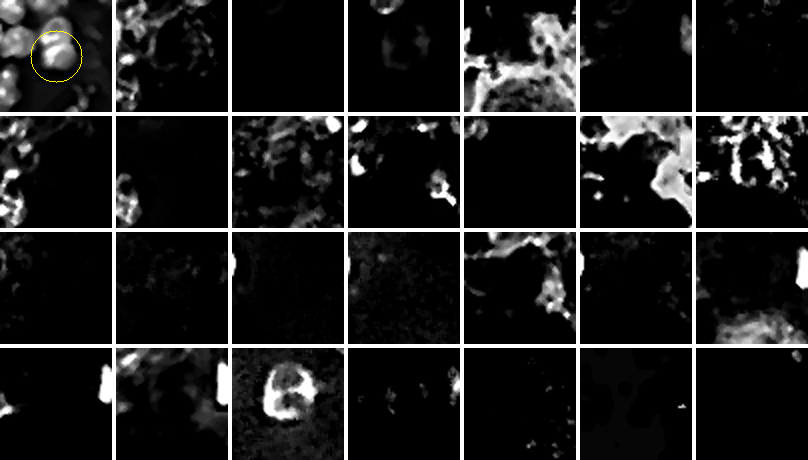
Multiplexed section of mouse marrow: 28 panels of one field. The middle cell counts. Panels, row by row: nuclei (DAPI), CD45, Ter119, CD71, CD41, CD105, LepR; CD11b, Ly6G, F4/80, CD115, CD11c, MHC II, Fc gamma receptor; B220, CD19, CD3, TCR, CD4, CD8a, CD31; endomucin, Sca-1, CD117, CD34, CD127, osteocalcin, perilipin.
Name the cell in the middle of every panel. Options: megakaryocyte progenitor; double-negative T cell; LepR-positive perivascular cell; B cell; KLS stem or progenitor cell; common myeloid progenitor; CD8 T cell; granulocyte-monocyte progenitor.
granulocyte-monocyte progenitor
